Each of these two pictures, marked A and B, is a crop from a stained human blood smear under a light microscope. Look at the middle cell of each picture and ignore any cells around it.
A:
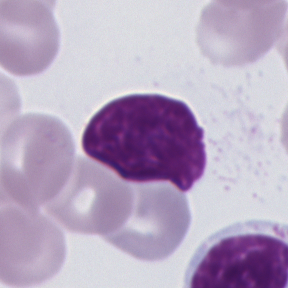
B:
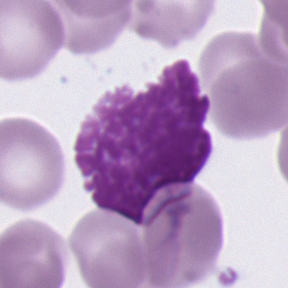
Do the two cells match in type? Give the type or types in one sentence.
Yes, both crops have smudge cells as their central cells.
